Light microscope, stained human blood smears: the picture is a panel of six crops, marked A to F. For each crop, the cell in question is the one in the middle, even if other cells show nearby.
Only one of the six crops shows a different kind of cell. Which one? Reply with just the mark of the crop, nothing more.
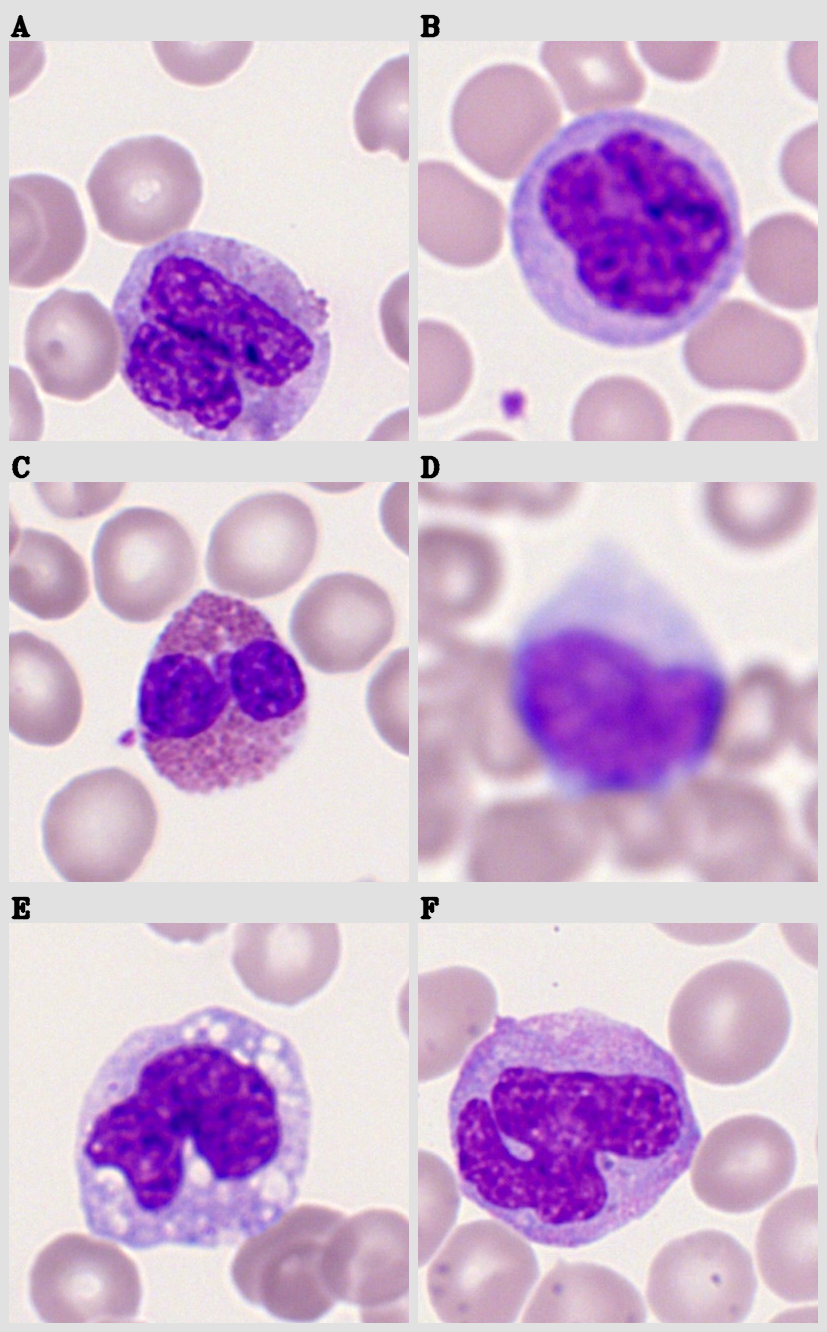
C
